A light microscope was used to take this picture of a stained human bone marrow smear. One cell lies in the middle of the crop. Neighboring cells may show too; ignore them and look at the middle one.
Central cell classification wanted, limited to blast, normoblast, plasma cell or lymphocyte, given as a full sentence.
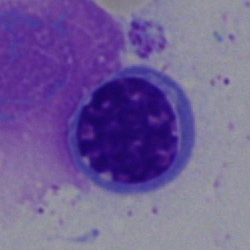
The cell centred in this crop is categorized as a normoblast.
